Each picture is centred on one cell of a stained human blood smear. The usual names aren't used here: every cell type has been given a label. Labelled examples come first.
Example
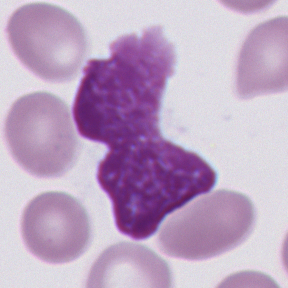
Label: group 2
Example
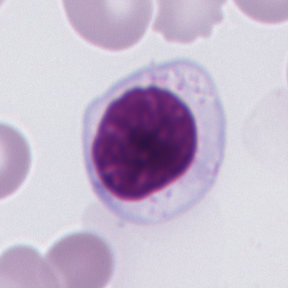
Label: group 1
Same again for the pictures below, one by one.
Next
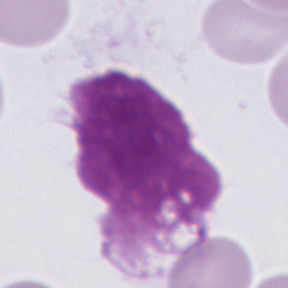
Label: group 2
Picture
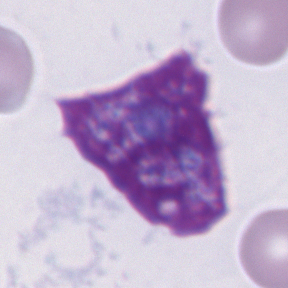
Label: group 2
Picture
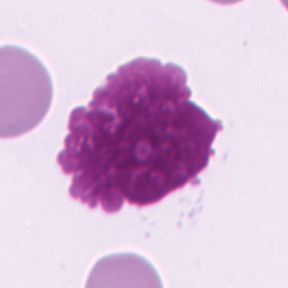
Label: group 2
